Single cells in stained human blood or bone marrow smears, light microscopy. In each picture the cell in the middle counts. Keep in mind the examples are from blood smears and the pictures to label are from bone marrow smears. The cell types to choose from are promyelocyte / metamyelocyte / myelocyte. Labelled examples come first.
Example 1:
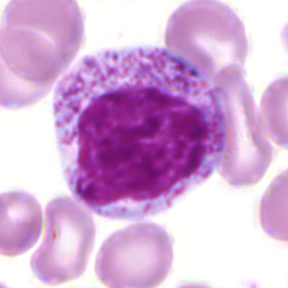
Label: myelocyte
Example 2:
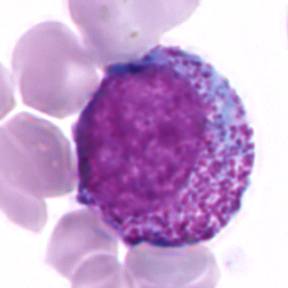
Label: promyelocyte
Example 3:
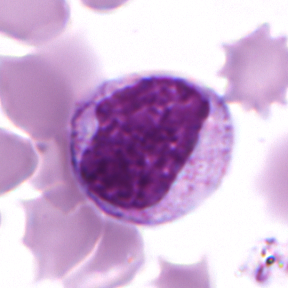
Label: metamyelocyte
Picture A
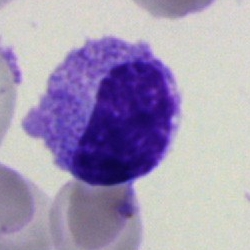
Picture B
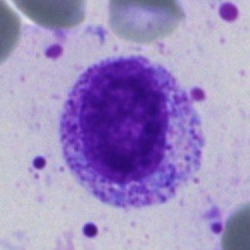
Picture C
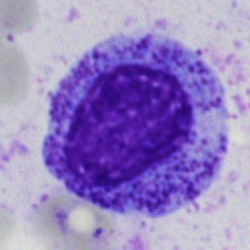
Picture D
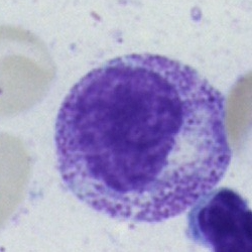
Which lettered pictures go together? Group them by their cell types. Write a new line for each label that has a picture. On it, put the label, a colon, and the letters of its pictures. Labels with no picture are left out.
promyelocyte: C
myelocyte: A, B, D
